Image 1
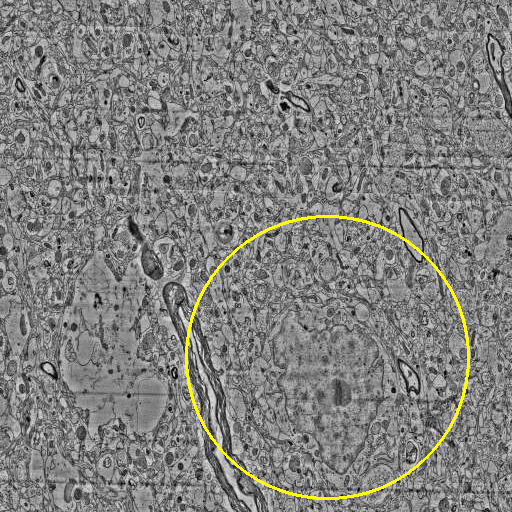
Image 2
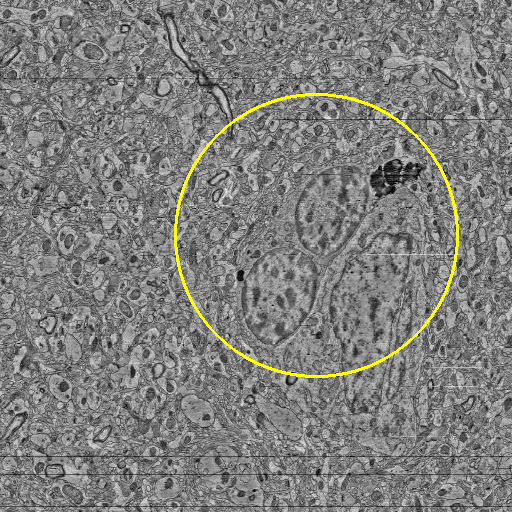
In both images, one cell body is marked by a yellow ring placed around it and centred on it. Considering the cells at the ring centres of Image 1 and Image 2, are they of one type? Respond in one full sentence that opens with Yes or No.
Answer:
No, two types apply to the ring-centred cells of Image 1 and Image 2.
